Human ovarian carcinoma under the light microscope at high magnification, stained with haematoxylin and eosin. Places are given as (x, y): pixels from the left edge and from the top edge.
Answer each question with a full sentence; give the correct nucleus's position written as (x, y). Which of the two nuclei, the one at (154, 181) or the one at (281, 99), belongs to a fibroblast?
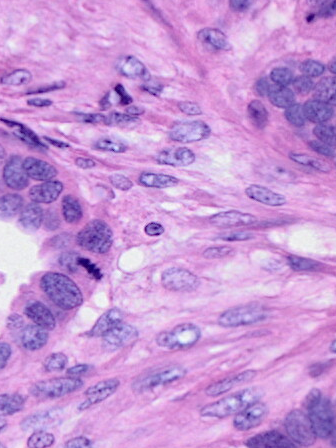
Between the two nuclei, the one sitting at (154, 181) belongs to a fibroblast.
